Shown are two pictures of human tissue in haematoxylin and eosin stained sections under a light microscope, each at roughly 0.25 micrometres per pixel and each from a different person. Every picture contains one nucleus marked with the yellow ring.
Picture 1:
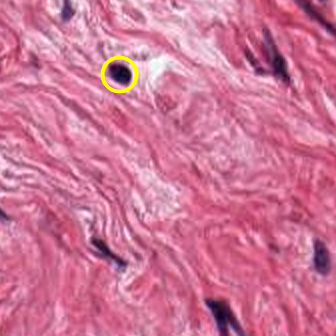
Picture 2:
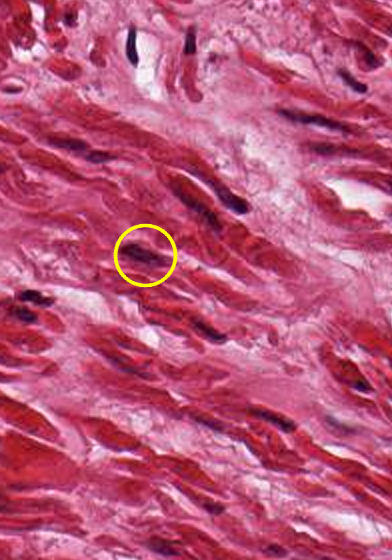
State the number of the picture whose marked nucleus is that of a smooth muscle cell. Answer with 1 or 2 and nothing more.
2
